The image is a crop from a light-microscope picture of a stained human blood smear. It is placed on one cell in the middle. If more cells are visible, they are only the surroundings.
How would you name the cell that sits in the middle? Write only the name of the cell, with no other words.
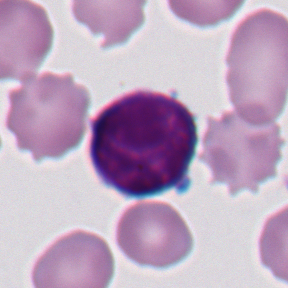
lymphocyte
